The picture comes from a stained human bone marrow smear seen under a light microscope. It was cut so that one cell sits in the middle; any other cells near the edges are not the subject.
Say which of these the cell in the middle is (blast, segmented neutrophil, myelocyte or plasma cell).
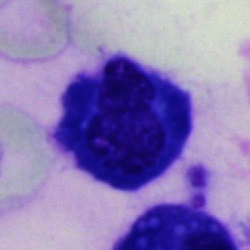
plasma cell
